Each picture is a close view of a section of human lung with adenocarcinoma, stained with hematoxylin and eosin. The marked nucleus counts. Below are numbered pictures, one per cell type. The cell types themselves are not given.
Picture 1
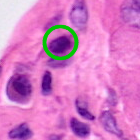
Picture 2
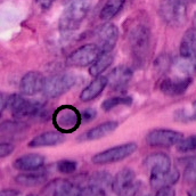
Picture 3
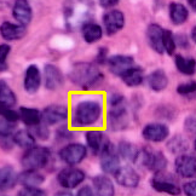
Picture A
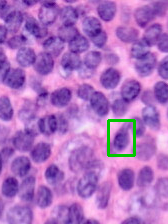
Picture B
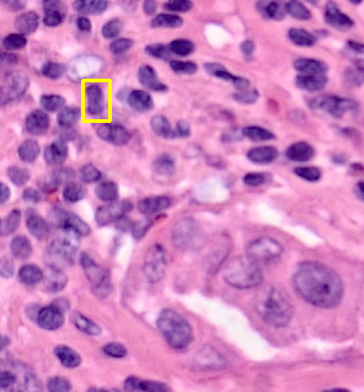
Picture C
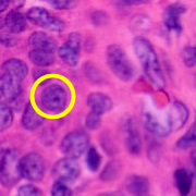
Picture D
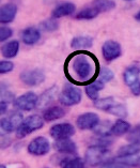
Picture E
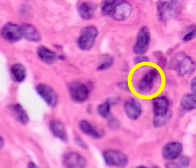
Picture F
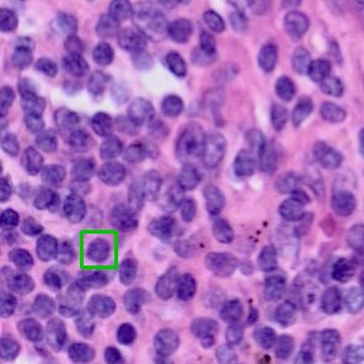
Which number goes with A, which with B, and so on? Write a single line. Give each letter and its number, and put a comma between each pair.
A 3, B 3, C 2, D 3, E 1, F 3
